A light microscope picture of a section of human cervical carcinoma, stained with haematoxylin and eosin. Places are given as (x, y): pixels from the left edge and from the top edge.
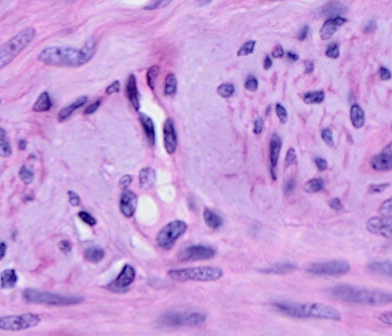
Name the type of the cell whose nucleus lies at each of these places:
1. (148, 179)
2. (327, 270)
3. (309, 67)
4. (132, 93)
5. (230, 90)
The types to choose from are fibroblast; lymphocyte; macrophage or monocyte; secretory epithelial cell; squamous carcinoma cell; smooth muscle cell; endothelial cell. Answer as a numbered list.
1. endothelial cell
2. fibroblast
3. smooth muscle cell
4. endothelial cell
5. smooth muscle cell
